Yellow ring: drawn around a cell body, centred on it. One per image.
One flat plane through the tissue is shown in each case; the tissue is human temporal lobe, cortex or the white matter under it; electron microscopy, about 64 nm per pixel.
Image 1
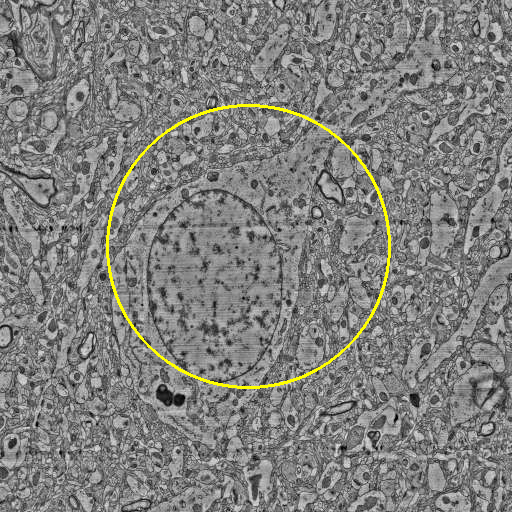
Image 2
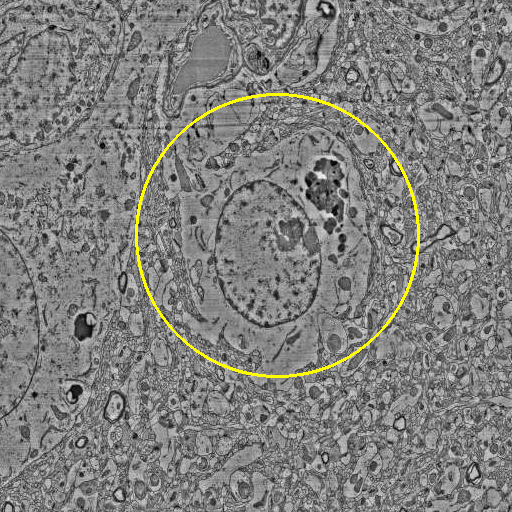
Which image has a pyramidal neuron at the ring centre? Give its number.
1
